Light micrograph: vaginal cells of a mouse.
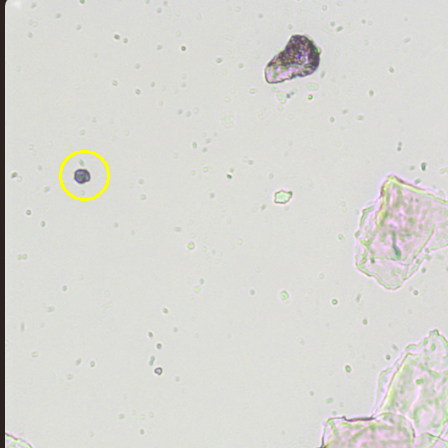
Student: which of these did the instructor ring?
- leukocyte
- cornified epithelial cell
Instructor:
The cell I ringed is a leukocyte.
